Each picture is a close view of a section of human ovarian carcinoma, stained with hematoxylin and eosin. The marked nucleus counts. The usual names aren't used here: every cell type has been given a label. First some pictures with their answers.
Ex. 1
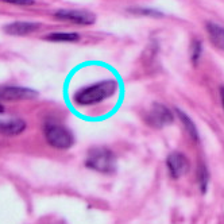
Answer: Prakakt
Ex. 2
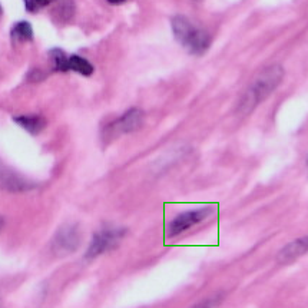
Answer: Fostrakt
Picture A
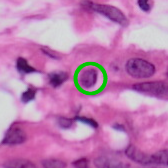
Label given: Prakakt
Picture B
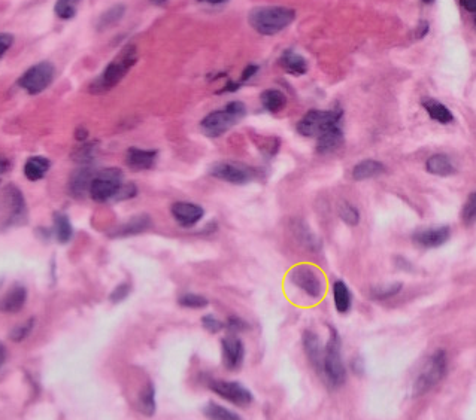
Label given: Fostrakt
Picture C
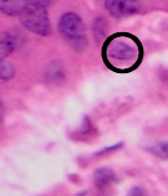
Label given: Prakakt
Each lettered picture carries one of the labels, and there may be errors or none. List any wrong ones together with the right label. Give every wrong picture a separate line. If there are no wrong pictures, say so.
All correct.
